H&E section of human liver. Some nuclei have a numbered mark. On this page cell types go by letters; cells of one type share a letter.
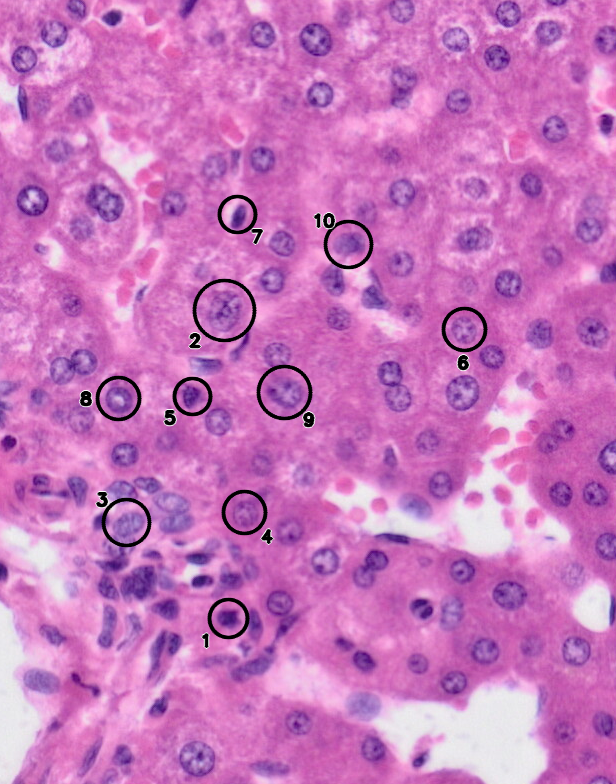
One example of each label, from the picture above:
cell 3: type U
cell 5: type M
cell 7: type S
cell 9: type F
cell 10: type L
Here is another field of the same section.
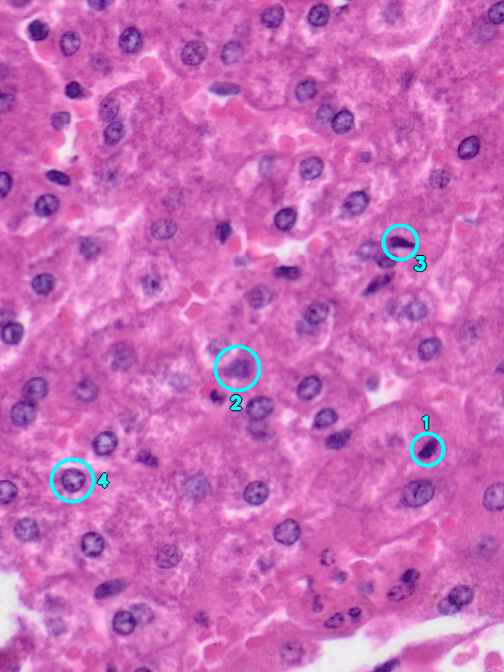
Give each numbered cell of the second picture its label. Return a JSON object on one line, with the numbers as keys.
{"1": "type M", "2": "type L", "3": "type M", "4": "type F"}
